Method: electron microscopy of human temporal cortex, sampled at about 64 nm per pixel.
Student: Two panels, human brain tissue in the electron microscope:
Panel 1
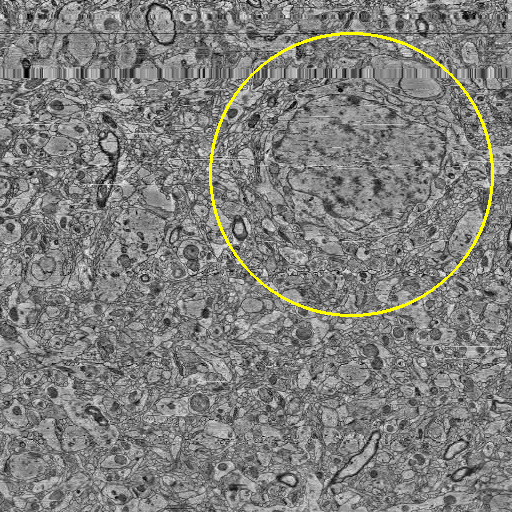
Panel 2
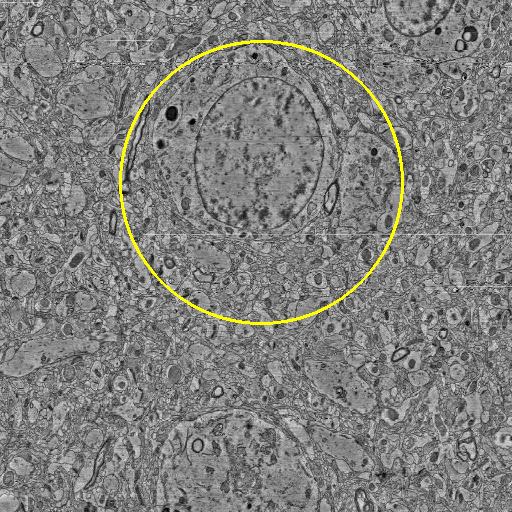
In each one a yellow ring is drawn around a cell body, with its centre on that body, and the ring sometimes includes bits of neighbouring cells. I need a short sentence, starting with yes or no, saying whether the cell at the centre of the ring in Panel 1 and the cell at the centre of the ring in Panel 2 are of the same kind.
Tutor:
No, they are two kinds of cell.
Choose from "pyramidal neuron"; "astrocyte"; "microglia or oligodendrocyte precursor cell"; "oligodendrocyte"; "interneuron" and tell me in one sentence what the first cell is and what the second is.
What the first ring is centred on is an interneuron; what the second ring is centred on is a pyramidal neuron.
